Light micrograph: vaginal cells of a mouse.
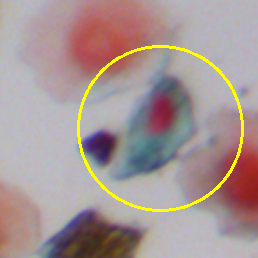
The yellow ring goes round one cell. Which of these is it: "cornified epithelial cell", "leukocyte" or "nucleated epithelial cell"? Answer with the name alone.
nucleated epithelial cell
